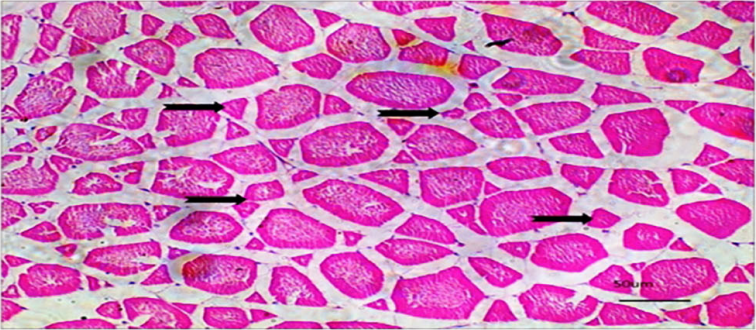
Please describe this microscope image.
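This is skeletal muscle cut across, showing many rounded to polygonal pink muscle fibers of fairly small and varied size. Each fiber is surrounded by a wide pale space with thin connective tissue septa, and a few small dark nuclei lie at the fiber edges. The fiber interiors are finely speckled where bundles of myofibrils are cut across.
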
